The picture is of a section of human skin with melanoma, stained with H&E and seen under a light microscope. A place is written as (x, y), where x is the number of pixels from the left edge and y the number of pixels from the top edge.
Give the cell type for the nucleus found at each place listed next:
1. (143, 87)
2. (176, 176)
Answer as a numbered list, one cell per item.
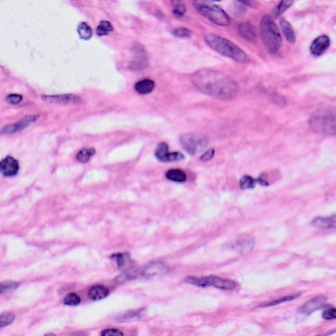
1. lymphocyte
2. plasma cell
